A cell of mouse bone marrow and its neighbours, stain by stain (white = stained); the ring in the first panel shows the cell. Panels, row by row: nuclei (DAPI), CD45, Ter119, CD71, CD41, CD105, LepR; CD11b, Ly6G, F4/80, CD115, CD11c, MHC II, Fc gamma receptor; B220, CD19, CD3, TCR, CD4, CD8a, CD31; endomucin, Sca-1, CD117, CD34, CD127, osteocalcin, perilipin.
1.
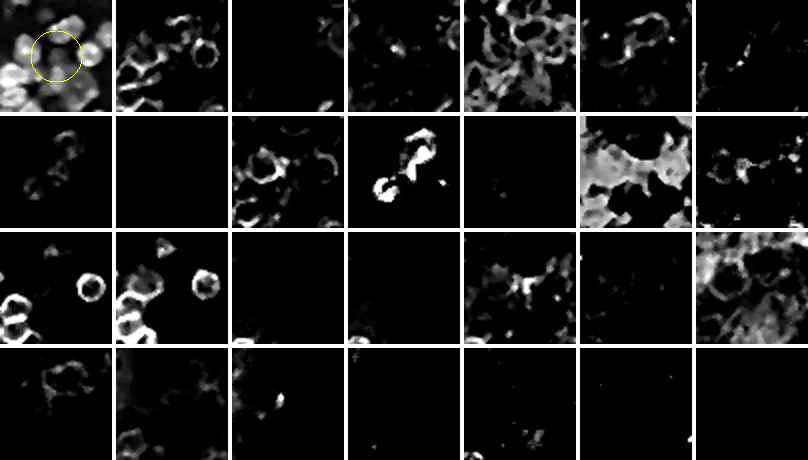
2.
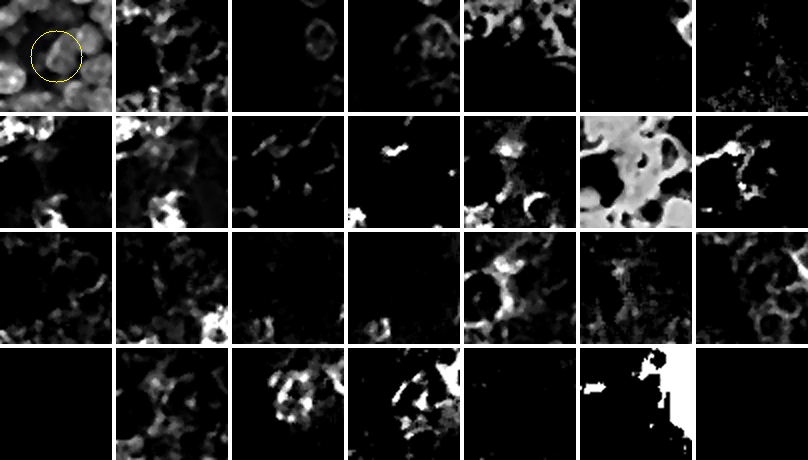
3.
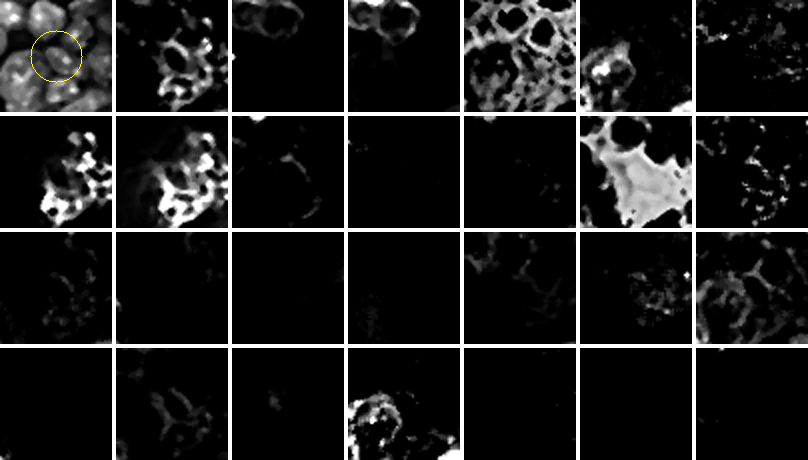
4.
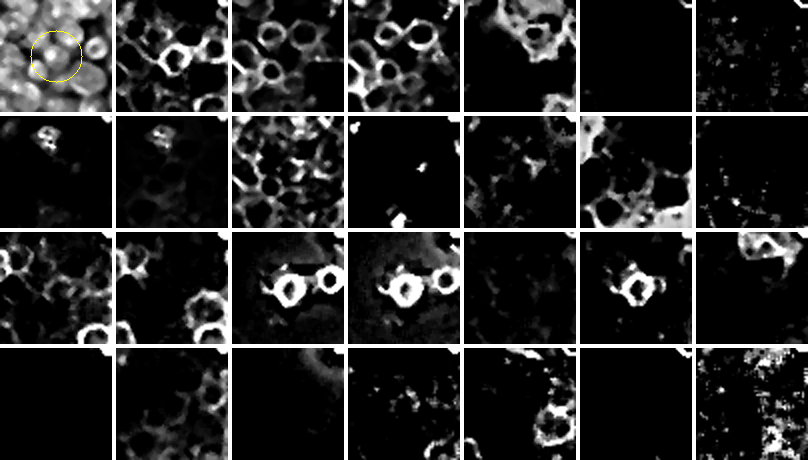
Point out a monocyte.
That is picture 1.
